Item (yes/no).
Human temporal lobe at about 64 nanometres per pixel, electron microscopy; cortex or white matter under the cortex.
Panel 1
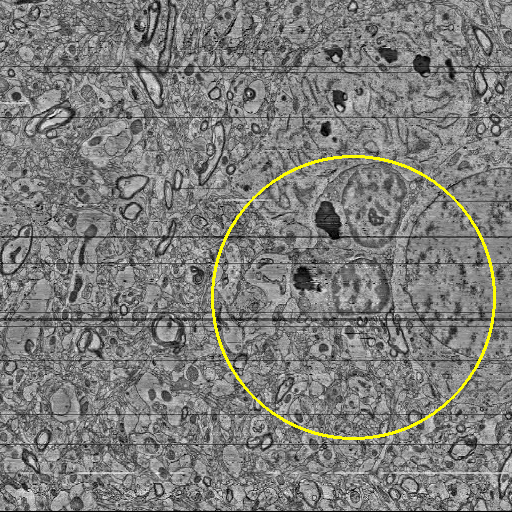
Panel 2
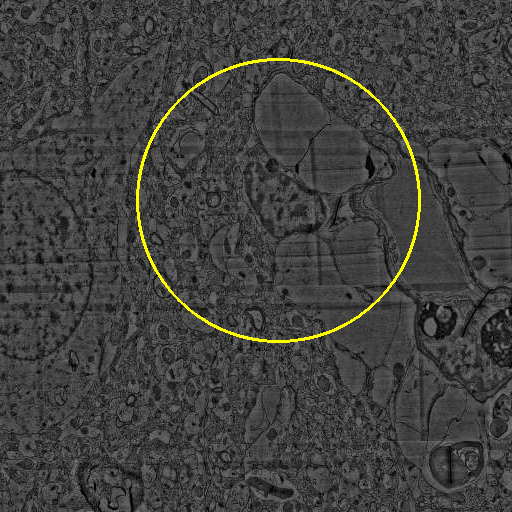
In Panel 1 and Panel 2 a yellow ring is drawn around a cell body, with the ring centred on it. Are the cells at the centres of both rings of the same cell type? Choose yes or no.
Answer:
no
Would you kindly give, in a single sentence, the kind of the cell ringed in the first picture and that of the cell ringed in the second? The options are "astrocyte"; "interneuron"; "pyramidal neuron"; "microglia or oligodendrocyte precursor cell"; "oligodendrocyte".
The second cell is a microglial cell or oligodendrocyte precursor cell, and the first cell is an oligodendrocyte.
